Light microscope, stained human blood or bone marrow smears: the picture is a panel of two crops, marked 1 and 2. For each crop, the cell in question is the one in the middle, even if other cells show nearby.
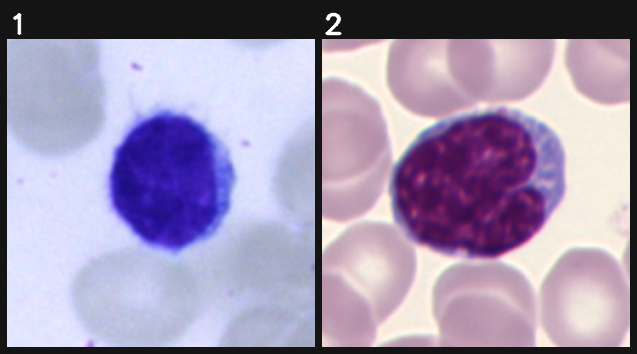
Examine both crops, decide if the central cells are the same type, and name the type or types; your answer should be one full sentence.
Yes, both crops show lymphocytes, the one and the other.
